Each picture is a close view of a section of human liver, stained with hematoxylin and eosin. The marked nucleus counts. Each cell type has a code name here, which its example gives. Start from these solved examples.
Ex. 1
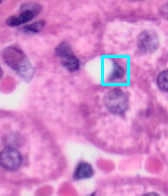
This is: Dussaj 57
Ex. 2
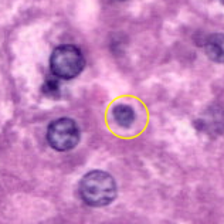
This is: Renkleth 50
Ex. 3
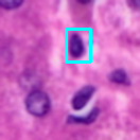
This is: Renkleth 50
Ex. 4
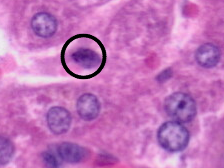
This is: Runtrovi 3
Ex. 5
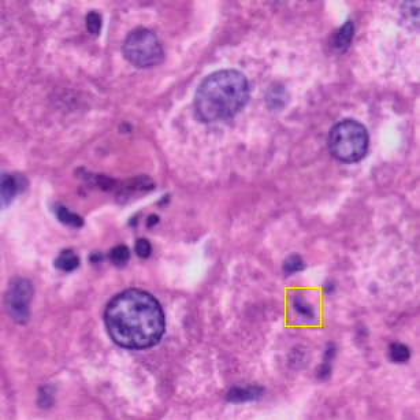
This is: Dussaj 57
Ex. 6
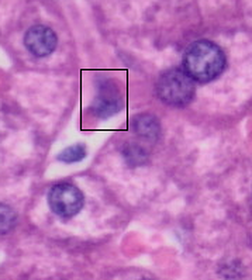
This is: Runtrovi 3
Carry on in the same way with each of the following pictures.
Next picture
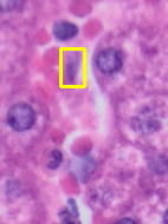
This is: Runtrovi 3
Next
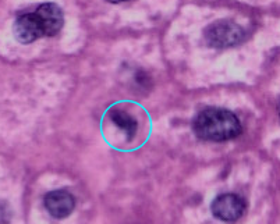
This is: Dussaj 57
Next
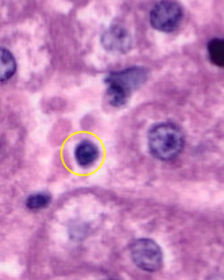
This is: Renkleth 50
